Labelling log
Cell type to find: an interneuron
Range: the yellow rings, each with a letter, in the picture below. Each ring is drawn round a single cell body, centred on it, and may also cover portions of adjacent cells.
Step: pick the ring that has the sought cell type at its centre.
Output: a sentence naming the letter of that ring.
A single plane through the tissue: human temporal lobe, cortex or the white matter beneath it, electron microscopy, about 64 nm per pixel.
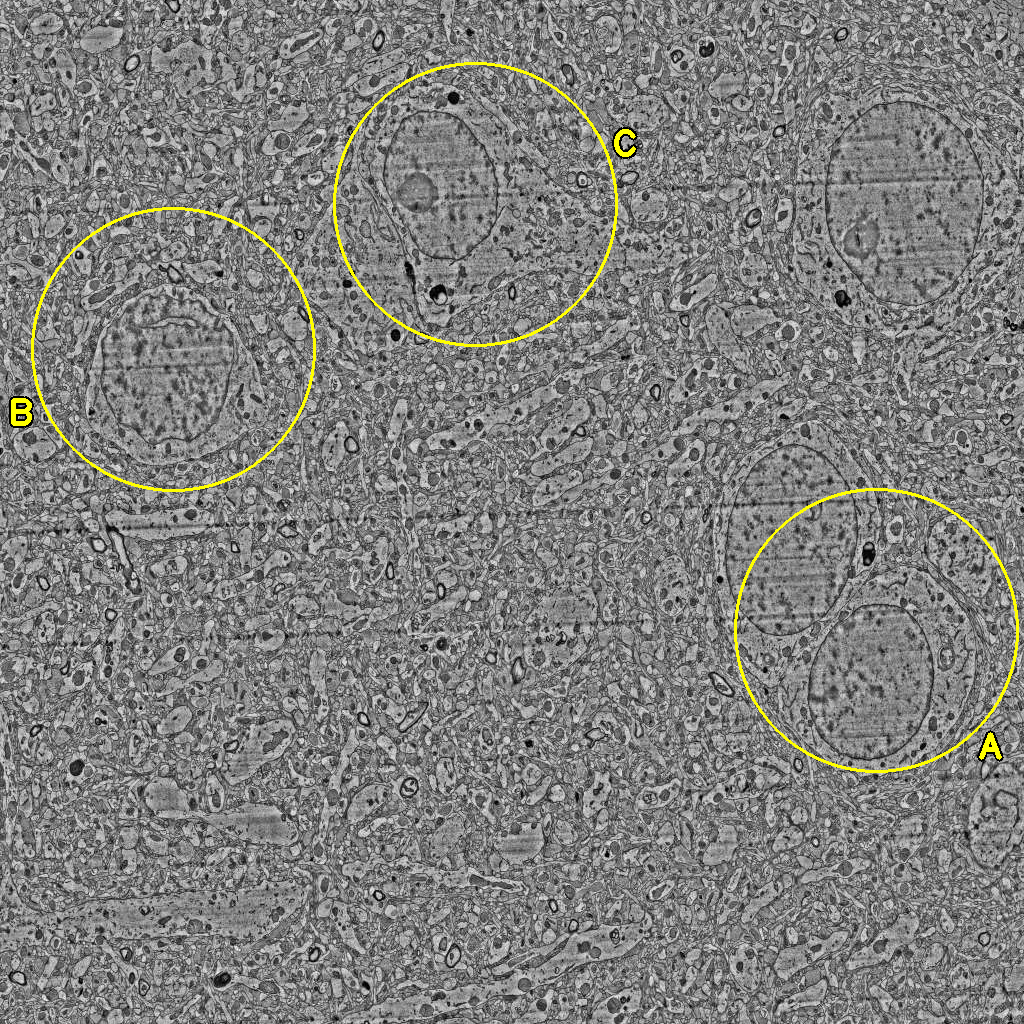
Ring B is the one with the cell asked for at its centre.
